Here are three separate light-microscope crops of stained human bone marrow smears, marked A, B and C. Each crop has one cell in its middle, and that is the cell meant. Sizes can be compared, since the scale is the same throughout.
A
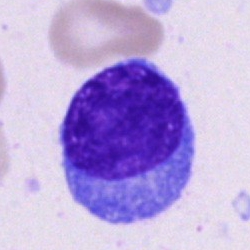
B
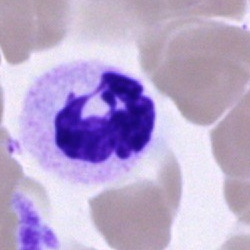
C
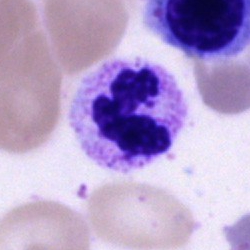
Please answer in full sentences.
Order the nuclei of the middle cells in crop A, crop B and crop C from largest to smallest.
Largest first: A, B, C.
